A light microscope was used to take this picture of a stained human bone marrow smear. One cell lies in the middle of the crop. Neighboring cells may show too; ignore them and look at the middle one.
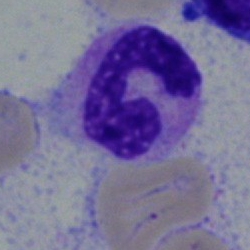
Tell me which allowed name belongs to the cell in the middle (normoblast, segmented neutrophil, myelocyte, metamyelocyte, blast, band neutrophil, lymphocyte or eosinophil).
band neutrophil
